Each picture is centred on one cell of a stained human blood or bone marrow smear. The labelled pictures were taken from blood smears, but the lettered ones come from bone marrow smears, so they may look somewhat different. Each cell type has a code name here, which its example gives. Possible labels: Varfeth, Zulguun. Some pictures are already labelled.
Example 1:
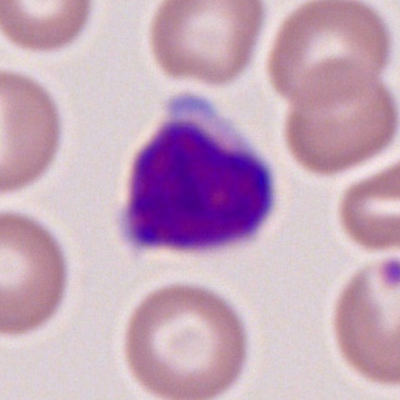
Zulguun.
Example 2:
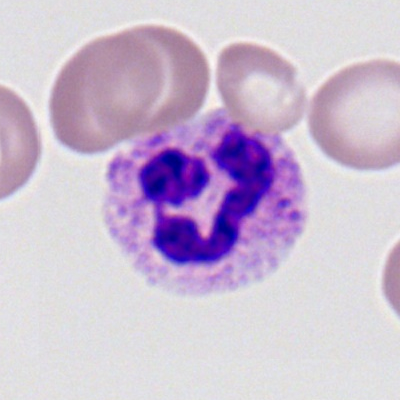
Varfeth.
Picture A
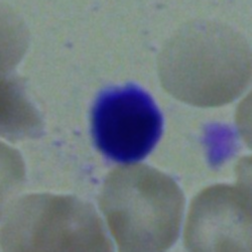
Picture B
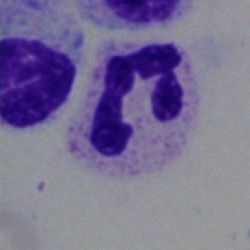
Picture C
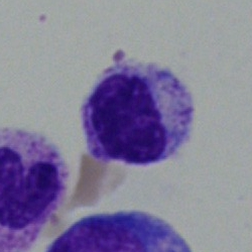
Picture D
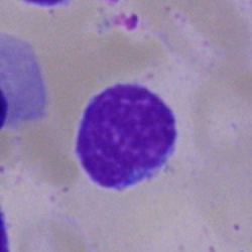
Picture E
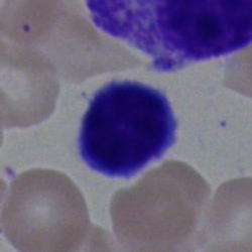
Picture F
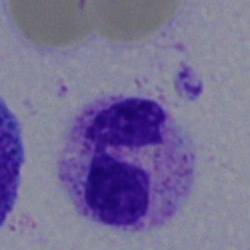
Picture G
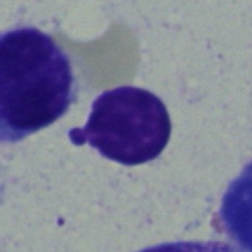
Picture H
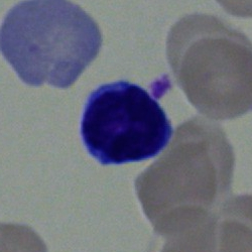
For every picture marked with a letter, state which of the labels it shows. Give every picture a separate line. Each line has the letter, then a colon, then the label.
A: Zulguun.
B: Varfeth.
C: Zulguun.
D: Zulguun.
E: Zulguun.
F: Varfeth.
G: Zulguun.
H: Zulguun.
